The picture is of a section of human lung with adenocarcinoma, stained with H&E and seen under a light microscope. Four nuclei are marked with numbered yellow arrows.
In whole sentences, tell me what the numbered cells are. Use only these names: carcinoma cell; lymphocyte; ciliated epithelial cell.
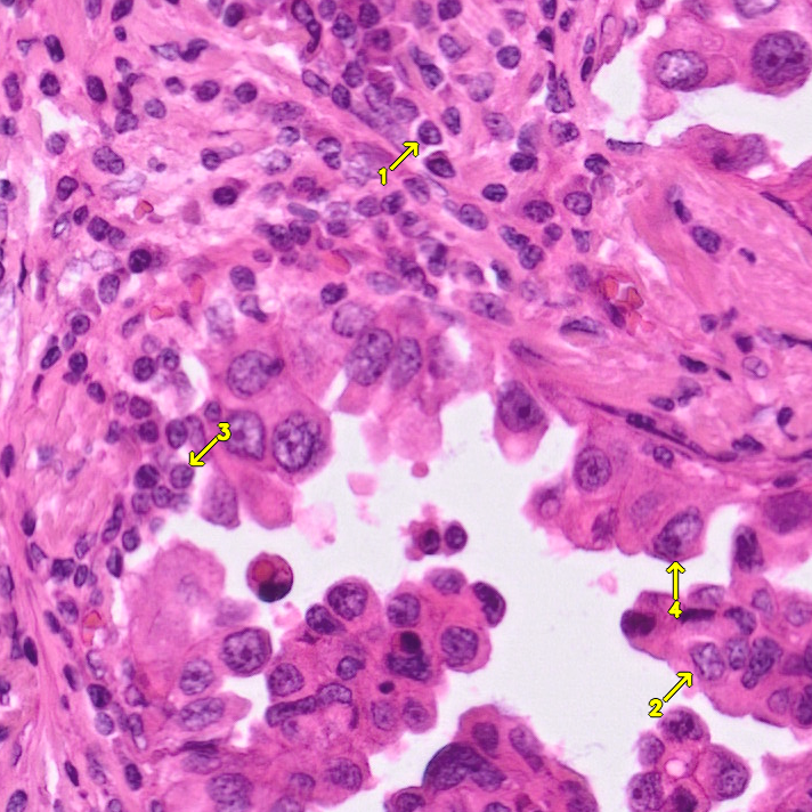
Cells 1 and 3 are lymphocytes. Cells 2 and 4 are carcinoma cells.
